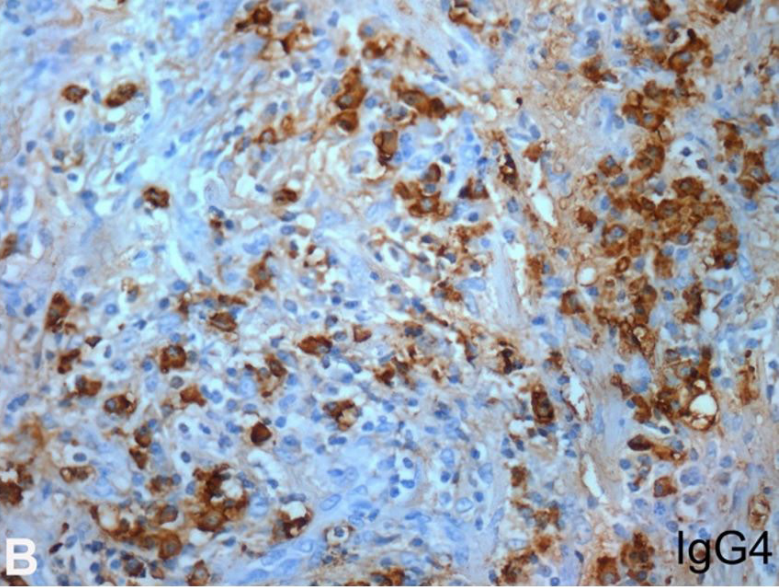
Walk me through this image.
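Plasma cells with brown-stained cytoplasm are scattered through a cellular tissue section, gathering into dense clusters in some areas, especially toward the right. Each stained cell is round to oval with a rounded, off-centre nucleus and a rim or mass of brown cytoplasm. Between them lie many cells with small blue nuclei and no brown stain, set in a pale bluish background with little diffuse staining. Some clear spaces and a few elongated stromal nuclei appear between the cell groups. The brown cells are distinct against the blue counterstain.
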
